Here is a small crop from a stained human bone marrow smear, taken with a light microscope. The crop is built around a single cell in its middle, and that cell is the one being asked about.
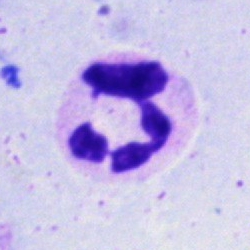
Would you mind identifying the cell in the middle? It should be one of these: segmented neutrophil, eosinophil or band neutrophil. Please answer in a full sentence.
The cell sitting right in the middle is a segmented neutrophil.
